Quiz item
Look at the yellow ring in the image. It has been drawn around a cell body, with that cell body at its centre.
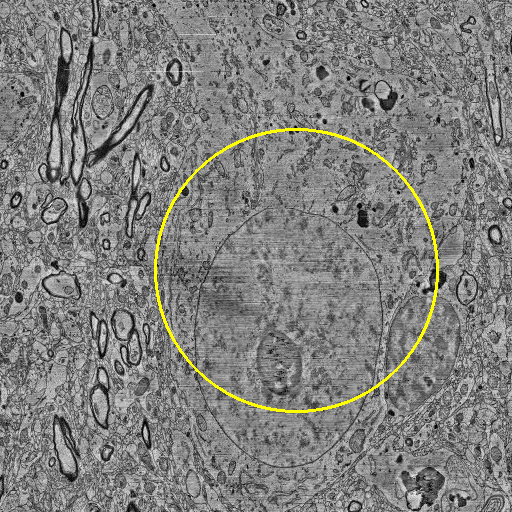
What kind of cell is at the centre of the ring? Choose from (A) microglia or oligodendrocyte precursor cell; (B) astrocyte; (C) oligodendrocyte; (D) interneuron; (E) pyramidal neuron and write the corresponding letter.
E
